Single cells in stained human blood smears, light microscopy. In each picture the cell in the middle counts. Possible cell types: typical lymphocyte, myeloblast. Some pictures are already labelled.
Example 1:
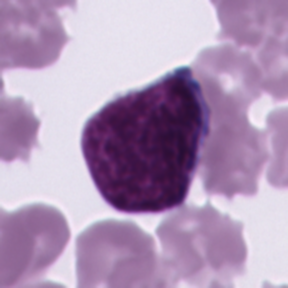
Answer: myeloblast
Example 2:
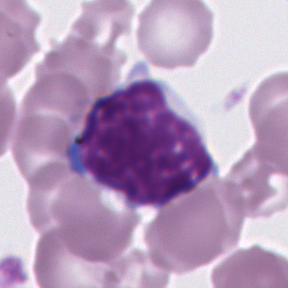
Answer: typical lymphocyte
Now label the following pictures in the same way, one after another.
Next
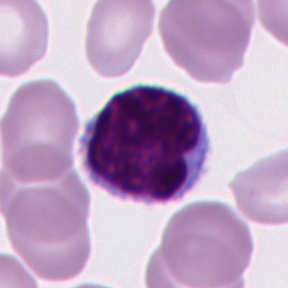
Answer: typical lymphocyte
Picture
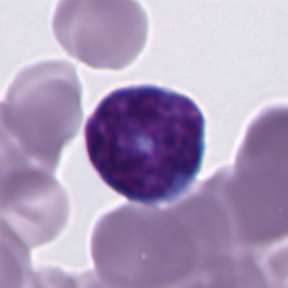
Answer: typical lymphocyte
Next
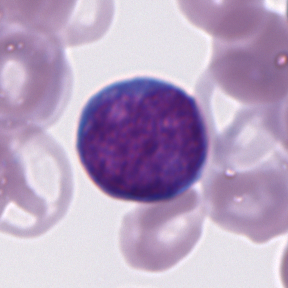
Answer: myeloblast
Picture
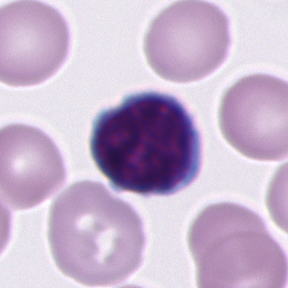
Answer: typical lymphocyte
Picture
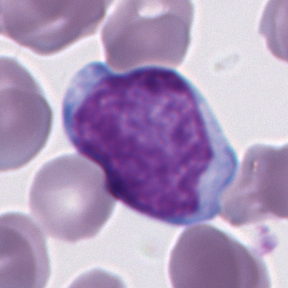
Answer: myeloblast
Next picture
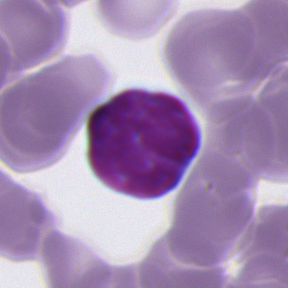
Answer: typical lymphocyte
